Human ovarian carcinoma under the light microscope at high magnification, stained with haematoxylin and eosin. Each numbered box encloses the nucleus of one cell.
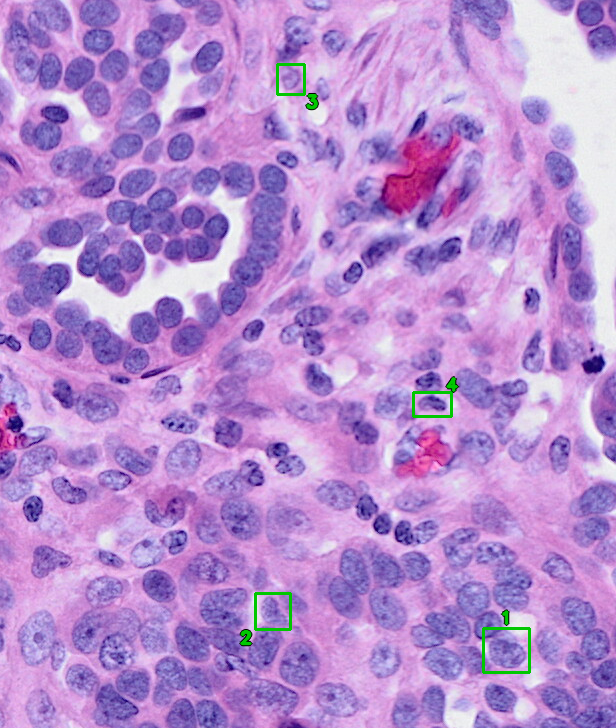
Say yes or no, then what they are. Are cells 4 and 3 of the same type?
No, cell 3 is a fibroblast, and cell 4 is a lymphocyte.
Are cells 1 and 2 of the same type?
Yes, cells 1 and 2 are carcinoma cells, the two of them alike.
